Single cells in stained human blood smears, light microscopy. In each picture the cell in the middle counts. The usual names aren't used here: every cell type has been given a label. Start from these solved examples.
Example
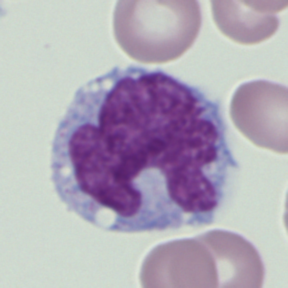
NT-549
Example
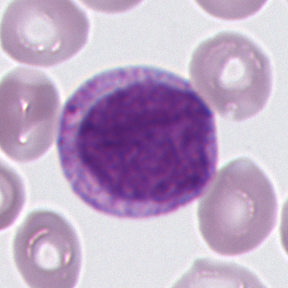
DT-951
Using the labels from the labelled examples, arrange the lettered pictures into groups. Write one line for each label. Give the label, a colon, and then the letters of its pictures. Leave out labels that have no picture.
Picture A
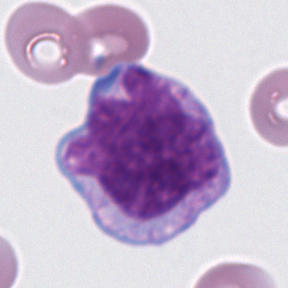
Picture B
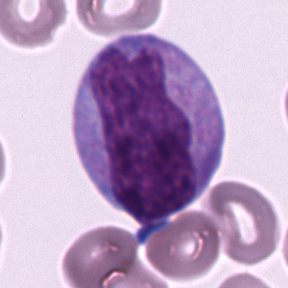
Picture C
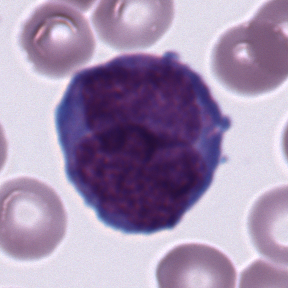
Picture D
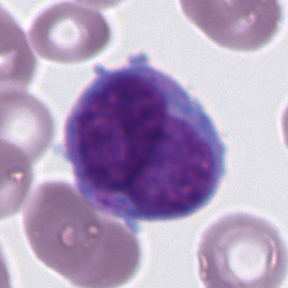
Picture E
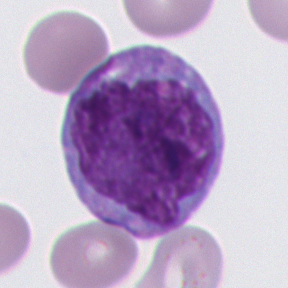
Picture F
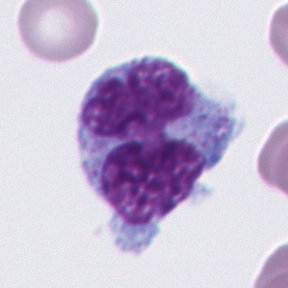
NT-549: F
DT-951: A, B, C, D, E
